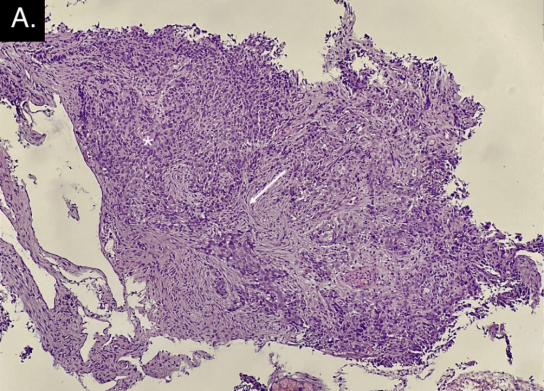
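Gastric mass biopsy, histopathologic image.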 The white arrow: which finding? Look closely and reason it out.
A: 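Paler streaming bands of spindle cells and fibrous tissue. This fibrous tissue lies between and around the dense cellular areas. That points to this answer: desmoplasia.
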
